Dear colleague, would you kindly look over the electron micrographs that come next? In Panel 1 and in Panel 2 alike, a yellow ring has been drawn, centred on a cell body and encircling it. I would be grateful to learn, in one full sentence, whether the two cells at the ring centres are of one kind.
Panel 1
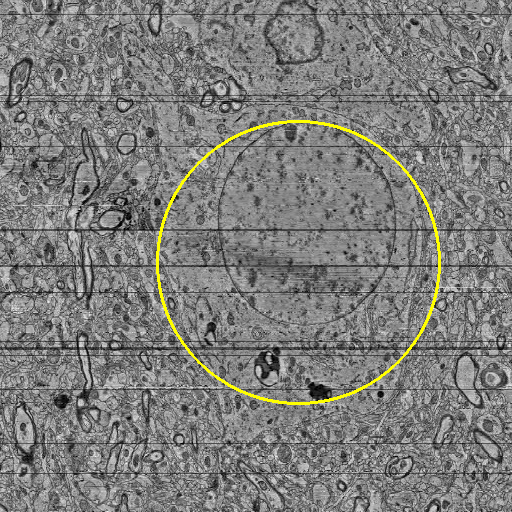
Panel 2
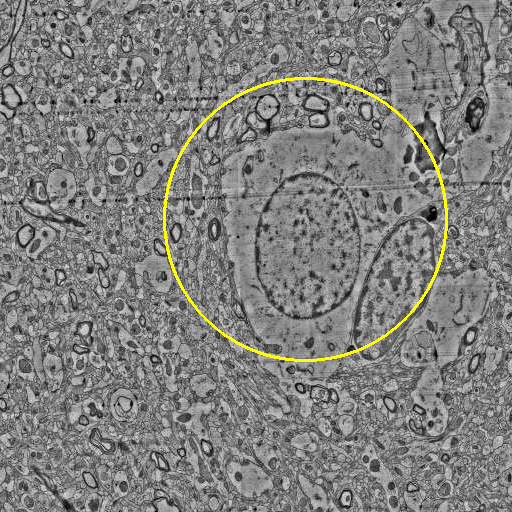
No, the cells in the middle of the rings in the two panels are of two kinds.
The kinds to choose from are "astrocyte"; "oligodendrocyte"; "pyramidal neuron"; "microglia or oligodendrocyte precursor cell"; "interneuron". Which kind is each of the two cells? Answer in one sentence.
Of the two, the first cell is a pyramidal neuron and the second cell is an astrocyte.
